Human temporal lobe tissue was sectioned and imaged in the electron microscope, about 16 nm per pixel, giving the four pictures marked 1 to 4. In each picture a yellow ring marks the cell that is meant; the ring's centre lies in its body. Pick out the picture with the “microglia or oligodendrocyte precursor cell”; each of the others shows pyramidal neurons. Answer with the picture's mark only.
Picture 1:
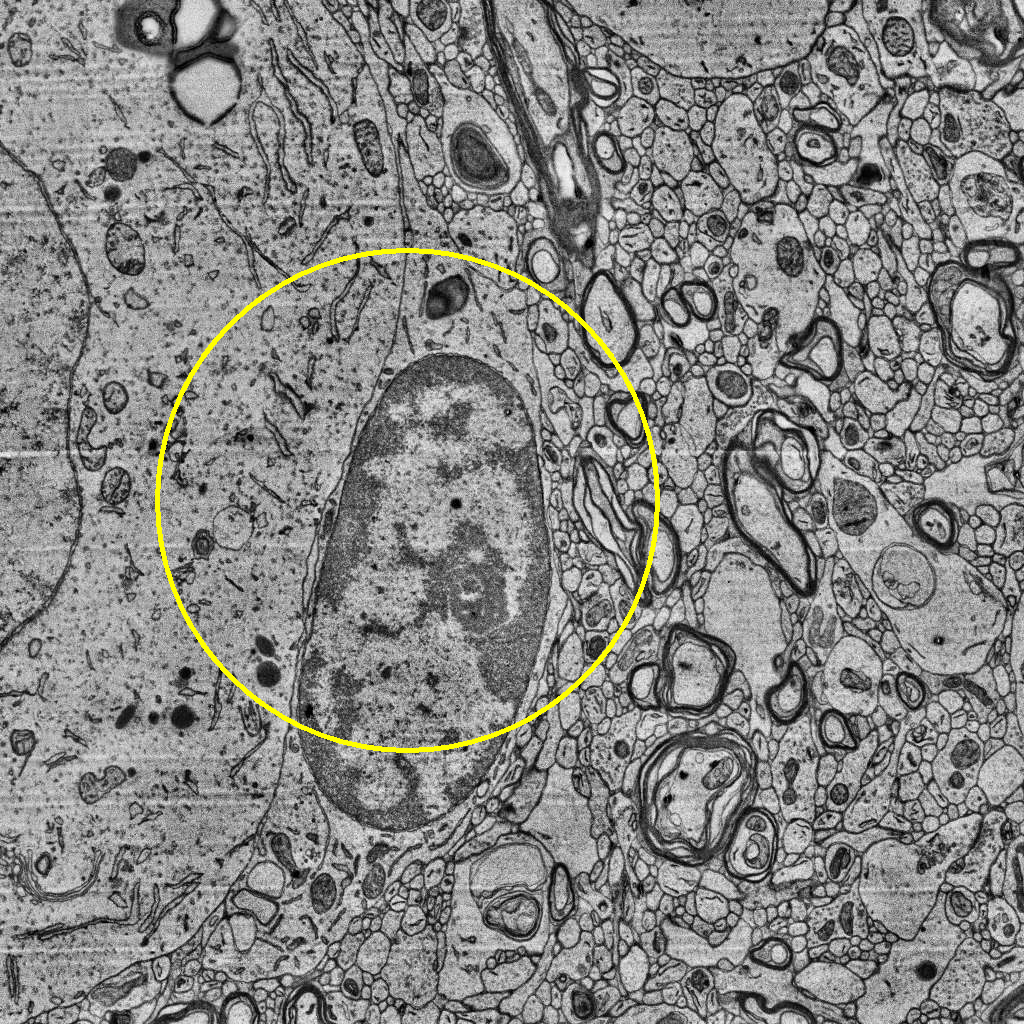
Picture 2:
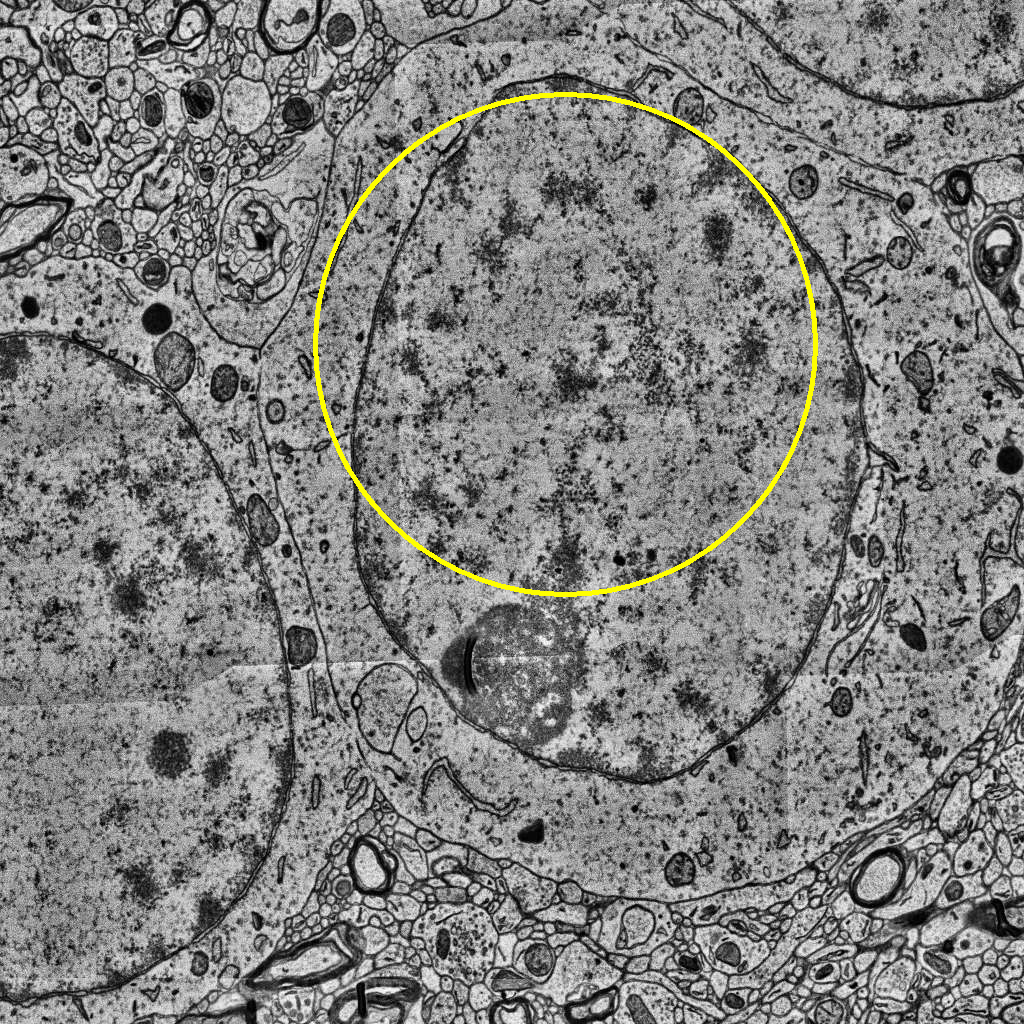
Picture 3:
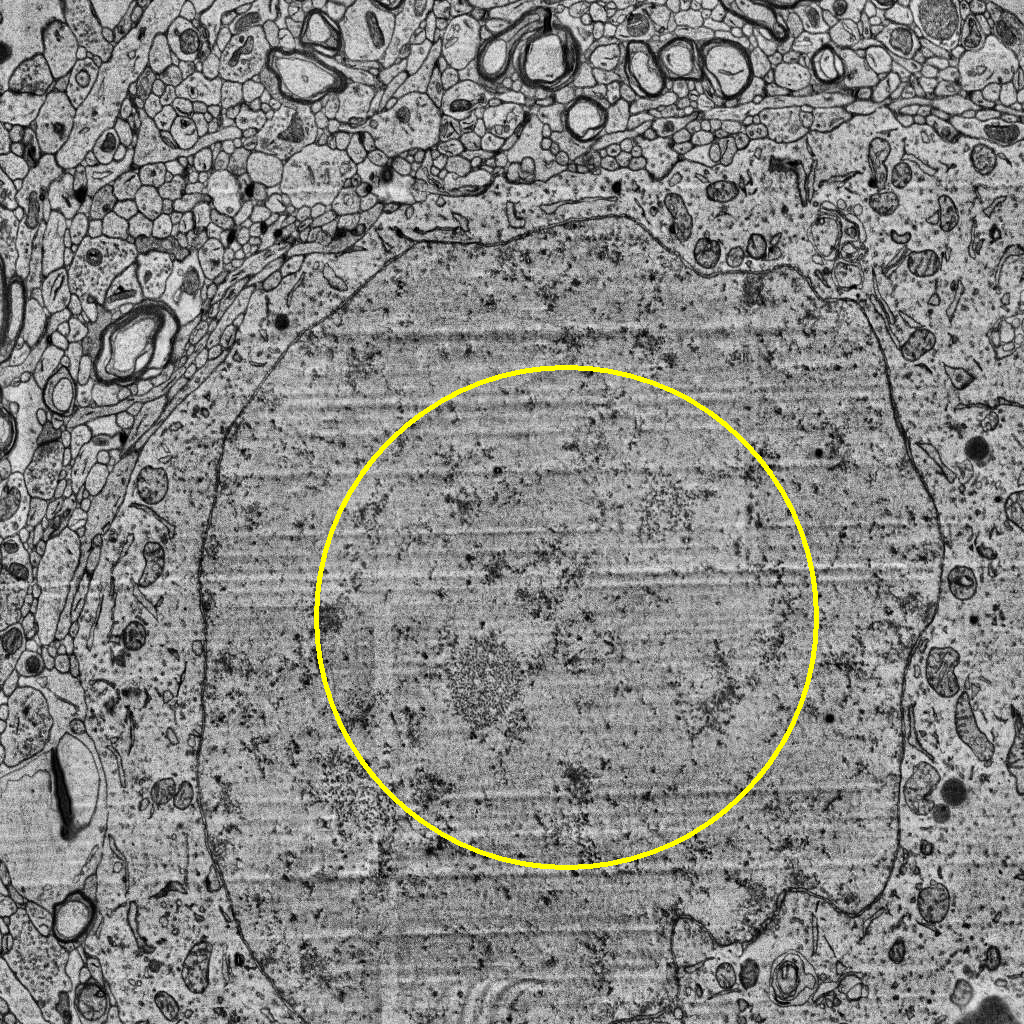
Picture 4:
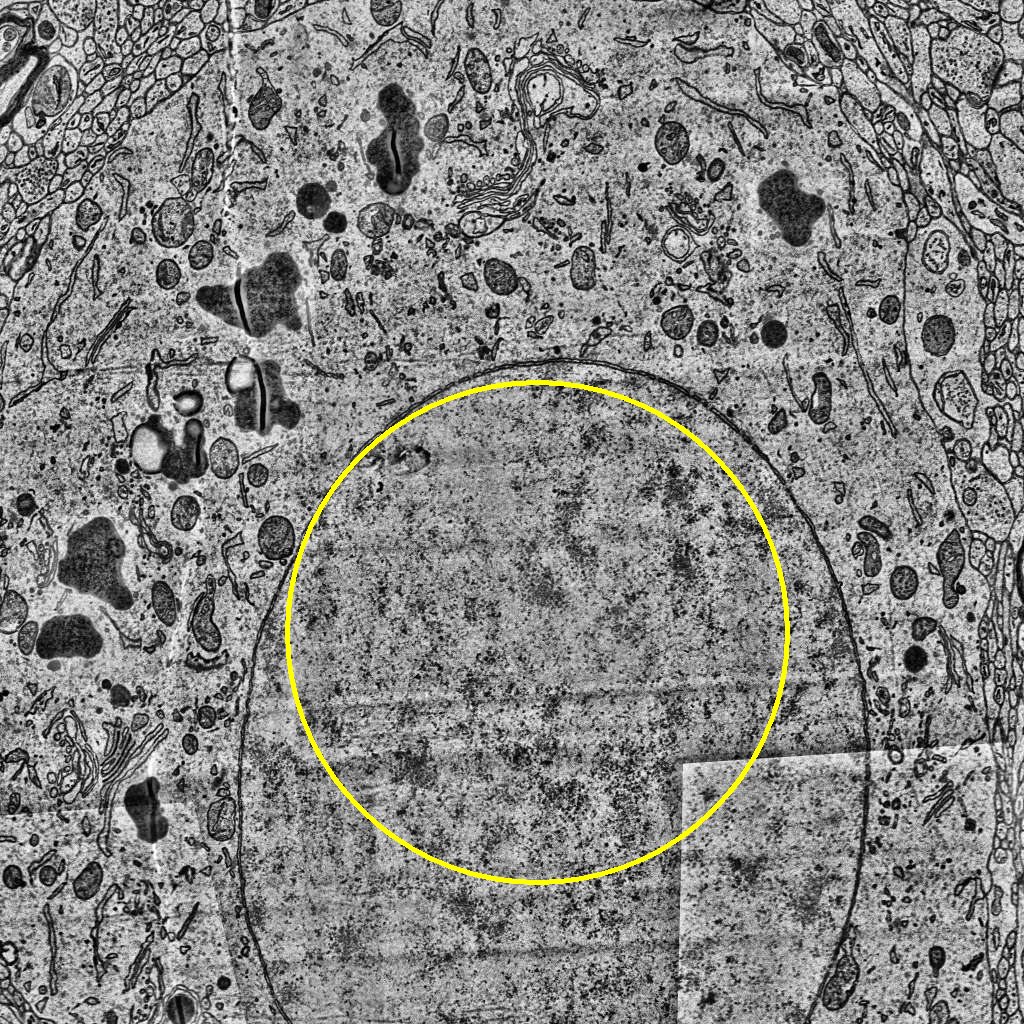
1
